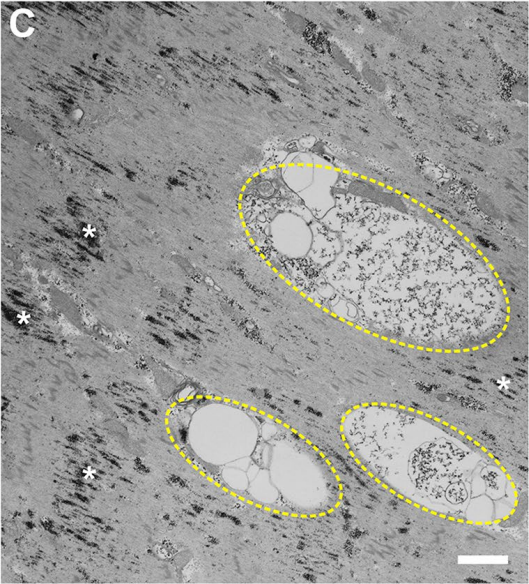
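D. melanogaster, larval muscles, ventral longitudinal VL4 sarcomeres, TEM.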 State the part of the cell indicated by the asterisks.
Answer: glycogen granules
